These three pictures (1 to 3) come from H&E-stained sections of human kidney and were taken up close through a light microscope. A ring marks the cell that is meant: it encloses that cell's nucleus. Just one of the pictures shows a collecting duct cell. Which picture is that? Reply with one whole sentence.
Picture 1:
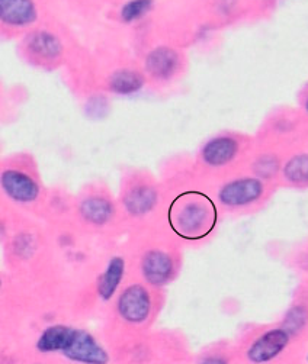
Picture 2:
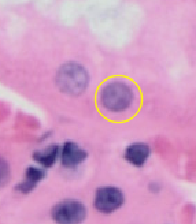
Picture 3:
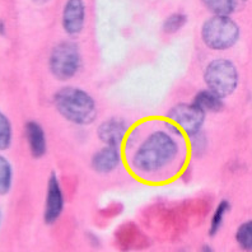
It is picture 3 that shows the collecting duct cell.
